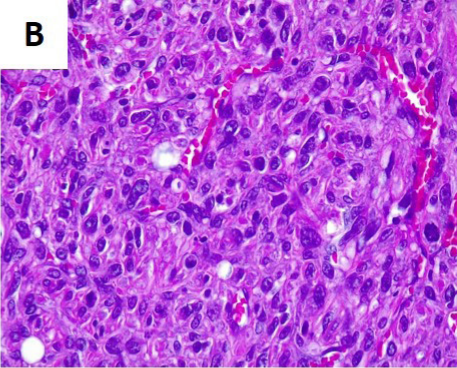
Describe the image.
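This tumor consists of sheets of large, pleomorphic cells with big, irregular, darkly staining nuclei that vary considerably in size and shape, set in pink cytoplasm. Numerous thin-walled vascular channels containing red blood cells run between the cells, giving a highly vascular appearance, and no follicles are formed.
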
